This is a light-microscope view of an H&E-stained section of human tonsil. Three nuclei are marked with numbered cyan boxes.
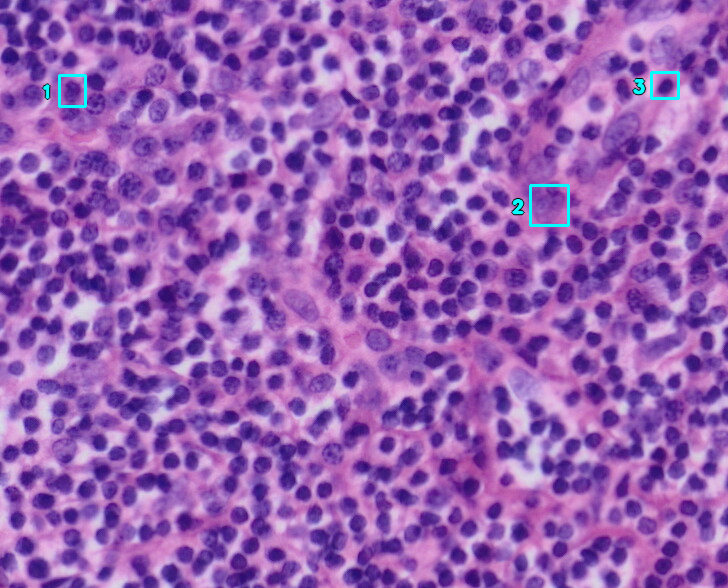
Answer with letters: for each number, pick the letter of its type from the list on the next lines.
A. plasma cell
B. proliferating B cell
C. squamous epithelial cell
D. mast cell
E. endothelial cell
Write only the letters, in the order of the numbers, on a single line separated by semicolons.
A; E; E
